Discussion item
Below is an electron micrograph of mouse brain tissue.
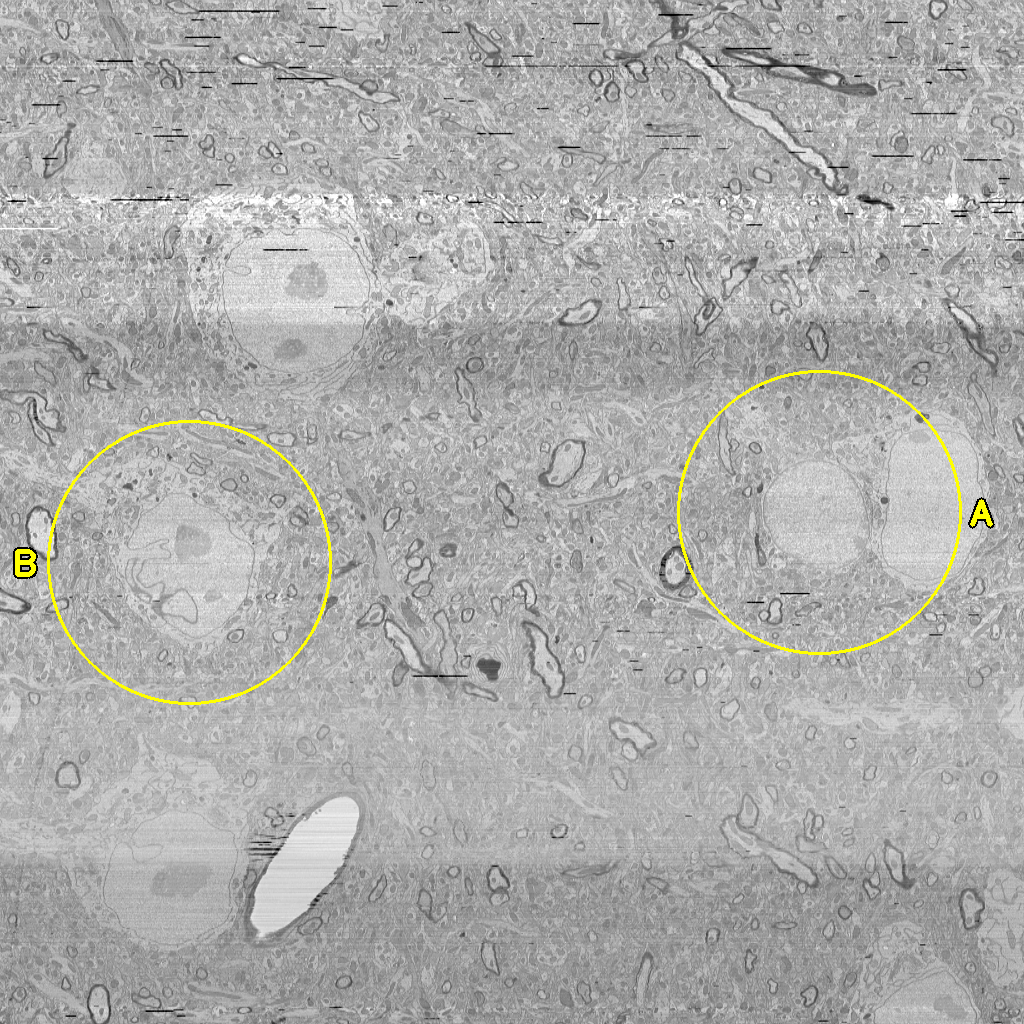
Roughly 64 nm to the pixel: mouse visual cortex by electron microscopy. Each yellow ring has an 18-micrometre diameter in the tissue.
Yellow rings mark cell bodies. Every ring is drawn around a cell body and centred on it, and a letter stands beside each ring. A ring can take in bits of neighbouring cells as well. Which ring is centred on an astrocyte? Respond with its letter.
A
